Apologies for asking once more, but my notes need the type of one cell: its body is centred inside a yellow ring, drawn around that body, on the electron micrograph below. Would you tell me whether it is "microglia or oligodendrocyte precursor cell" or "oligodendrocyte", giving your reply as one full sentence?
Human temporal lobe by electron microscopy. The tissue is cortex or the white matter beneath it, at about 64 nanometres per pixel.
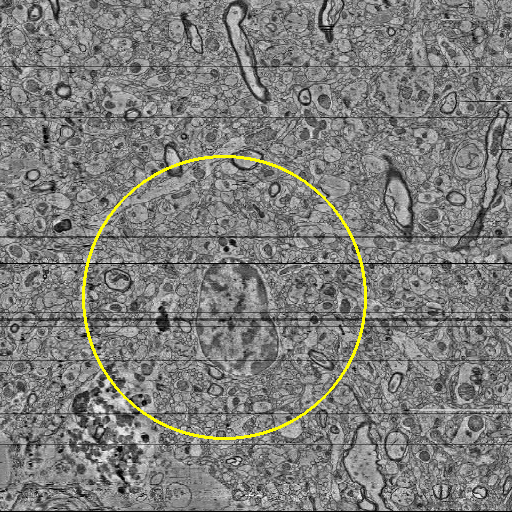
The cell that the yellow ring is centred on is a microglial cell or oligodendrocyte precursor cell in this micrograph.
